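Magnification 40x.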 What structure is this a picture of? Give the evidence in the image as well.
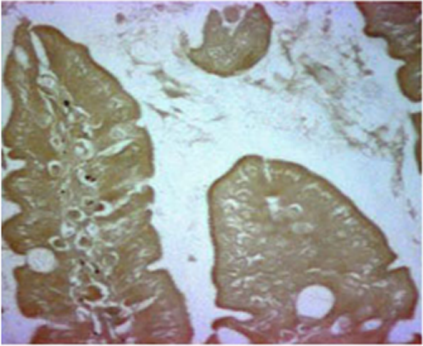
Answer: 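Villi. Broad finger-like mucosal projections covered by a continuous epithelial lining. The projections are separated by pale luminal space.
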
